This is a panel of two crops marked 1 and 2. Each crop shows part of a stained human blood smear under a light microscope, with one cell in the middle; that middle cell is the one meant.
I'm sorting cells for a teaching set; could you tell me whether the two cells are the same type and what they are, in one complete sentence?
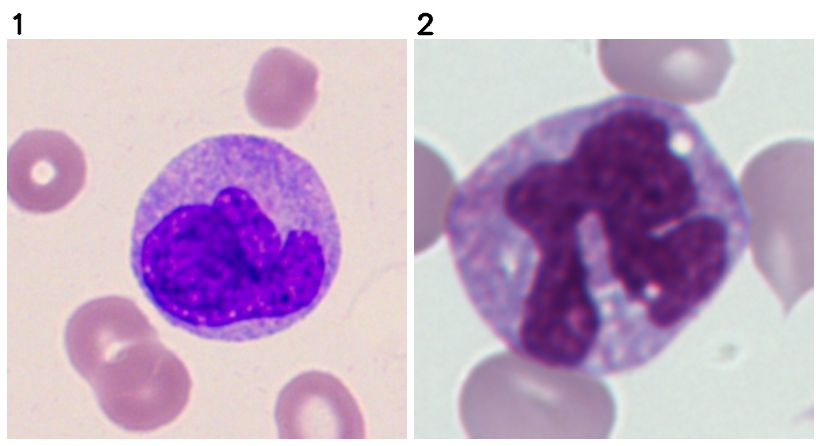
Yes, the centre cells of both crops are monocytes.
